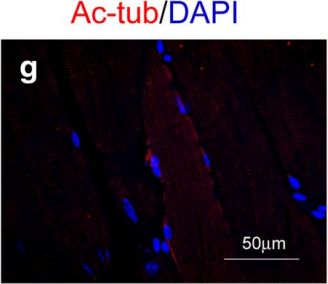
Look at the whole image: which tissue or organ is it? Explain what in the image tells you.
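A long broad fibre runs diagonally across the field. Few elongated nuclei lie along the fibre edges. On this evidence: normal muscle.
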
